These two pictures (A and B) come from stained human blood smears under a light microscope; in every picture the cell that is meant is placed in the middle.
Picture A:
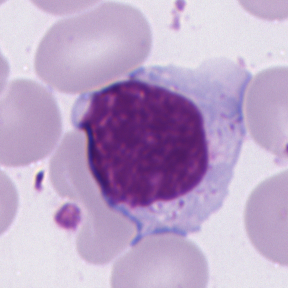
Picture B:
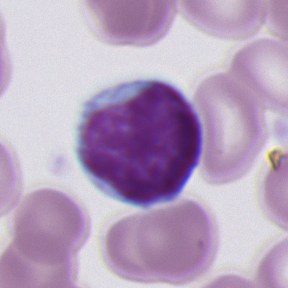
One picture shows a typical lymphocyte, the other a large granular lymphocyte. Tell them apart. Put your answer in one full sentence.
Picture A shows a large granular lymphocyte and picture B shows a typical lymphocyte.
